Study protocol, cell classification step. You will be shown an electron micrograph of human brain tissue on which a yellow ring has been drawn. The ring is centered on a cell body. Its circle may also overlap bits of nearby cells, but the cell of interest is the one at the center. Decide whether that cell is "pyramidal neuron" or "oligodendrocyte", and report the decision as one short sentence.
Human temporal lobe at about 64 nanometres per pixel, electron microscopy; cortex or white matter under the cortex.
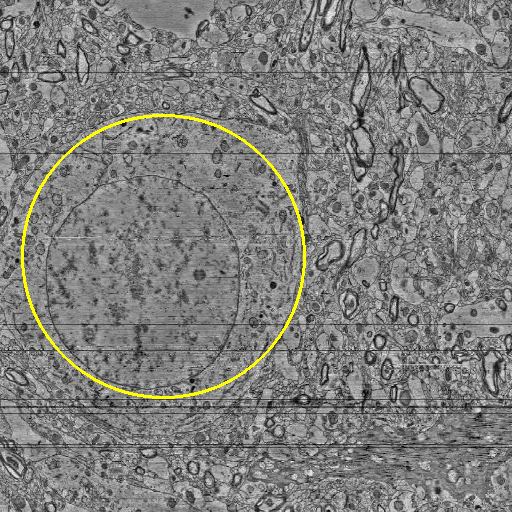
The marked cell is a pyramidal neuron.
